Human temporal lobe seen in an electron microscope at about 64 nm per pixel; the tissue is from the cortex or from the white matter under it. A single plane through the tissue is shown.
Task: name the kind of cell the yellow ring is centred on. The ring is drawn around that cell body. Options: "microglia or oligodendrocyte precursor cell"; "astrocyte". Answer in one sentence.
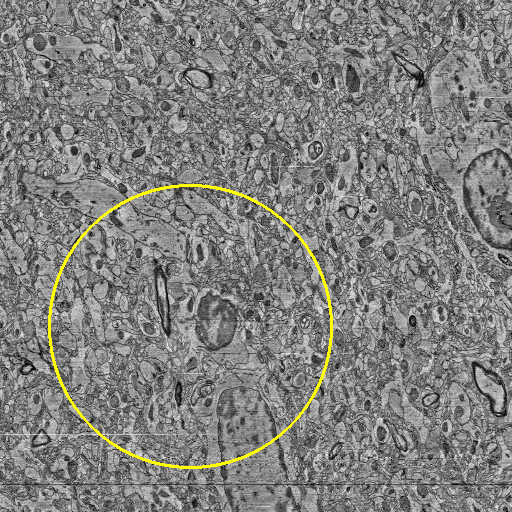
This cell body belongs to a microglial cell or oligodendrocyte precursor cell.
